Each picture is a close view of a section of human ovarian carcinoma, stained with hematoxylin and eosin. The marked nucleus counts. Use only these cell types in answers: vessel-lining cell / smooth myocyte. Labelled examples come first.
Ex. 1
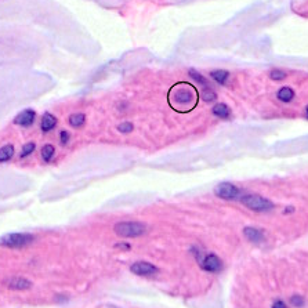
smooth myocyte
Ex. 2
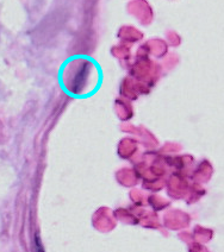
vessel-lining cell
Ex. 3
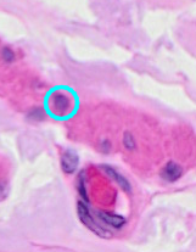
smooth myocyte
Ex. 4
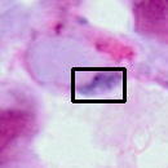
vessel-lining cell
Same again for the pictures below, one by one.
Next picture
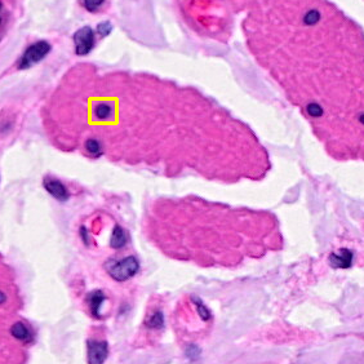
smooth myocyte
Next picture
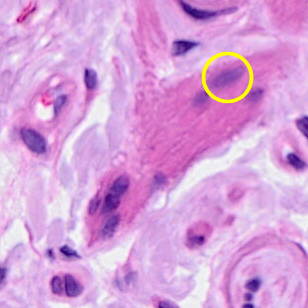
smooth myocyte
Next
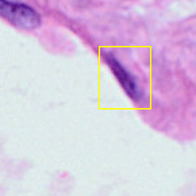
vessel-lining cell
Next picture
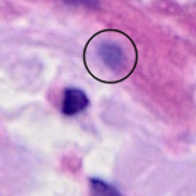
smooth myocyte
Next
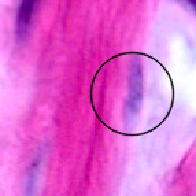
smooth myocyte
